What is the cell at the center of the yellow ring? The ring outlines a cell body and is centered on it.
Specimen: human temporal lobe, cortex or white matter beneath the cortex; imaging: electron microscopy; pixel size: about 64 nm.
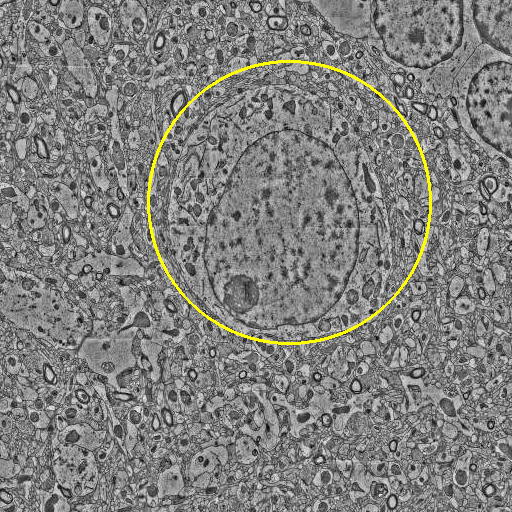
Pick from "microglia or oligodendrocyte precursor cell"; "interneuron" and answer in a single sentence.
The yellow ring is centered on an interneuron.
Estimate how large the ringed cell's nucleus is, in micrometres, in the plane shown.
In this plane the nucleus spans approximately 13 by 10 micrometers.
